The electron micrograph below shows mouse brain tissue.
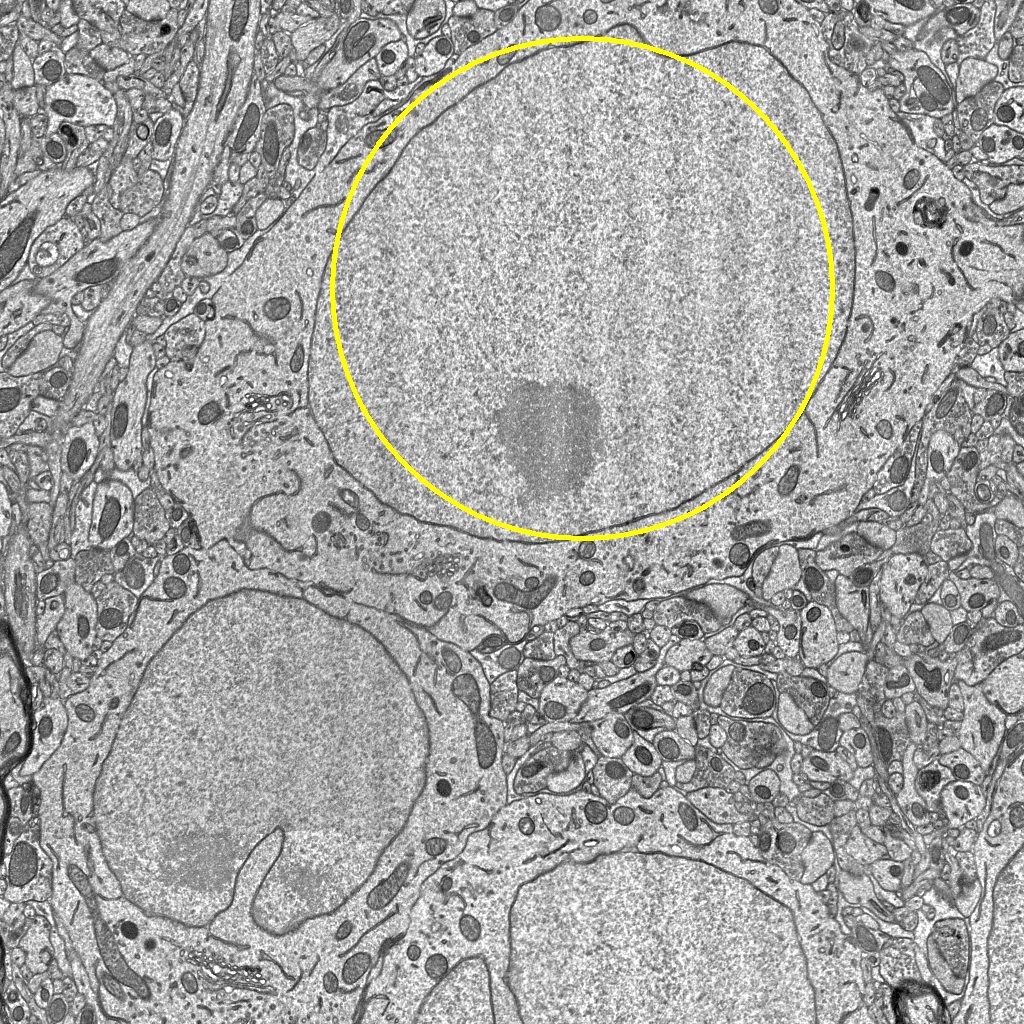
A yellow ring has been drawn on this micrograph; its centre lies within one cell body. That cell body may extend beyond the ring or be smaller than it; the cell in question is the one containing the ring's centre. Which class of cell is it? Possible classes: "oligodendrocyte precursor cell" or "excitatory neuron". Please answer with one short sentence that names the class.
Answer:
In the centre of the ring sits an excitatory neuron.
